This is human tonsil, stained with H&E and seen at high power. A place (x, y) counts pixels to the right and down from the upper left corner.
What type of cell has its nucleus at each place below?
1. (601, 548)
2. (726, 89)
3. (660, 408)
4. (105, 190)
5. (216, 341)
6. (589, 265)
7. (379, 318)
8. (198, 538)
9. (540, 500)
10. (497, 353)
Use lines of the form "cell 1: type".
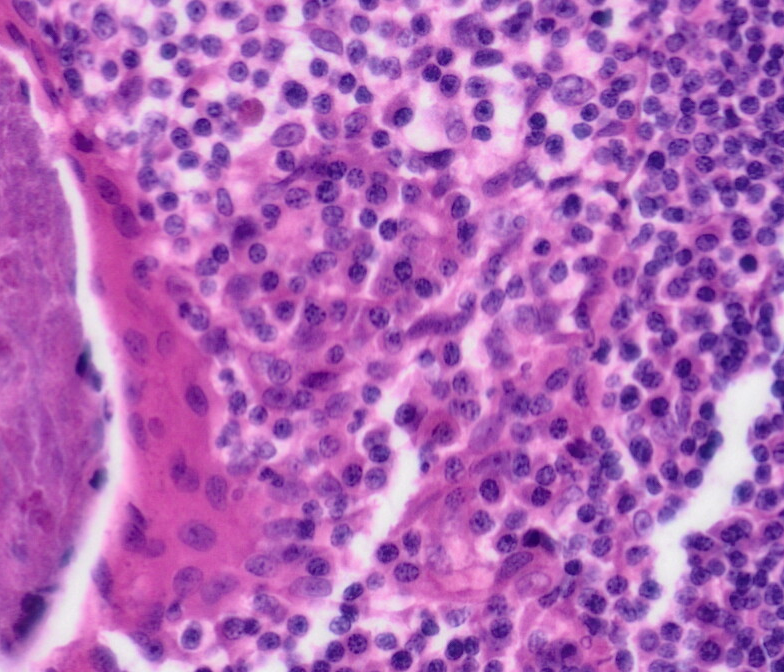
cell 1: plasma cell
cell 2: small lymphocyte
cell 3: plasma cell
cell 4: squamous epithelial cell
cell 5: squamous epithelial cell
cell 6: squamous epithelial cell
cell 7: plasma cell
cell 8: squamous epithelial cell
cell 9: plasma cell
cell 10: squamous epithelial cell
